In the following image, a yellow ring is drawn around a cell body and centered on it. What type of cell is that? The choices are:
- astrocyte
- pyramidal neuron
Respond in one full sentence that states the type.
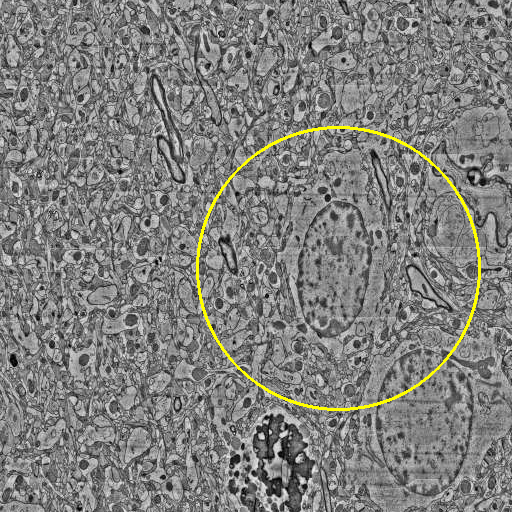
The cell at the center of the yellow ring in the image is an astrocyte.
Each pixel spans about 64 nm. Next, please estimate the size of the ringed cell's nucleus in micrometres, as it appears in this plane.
In this plane, about 9 by 5 micrometres: the nucleus is clearly longer than it is wide.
